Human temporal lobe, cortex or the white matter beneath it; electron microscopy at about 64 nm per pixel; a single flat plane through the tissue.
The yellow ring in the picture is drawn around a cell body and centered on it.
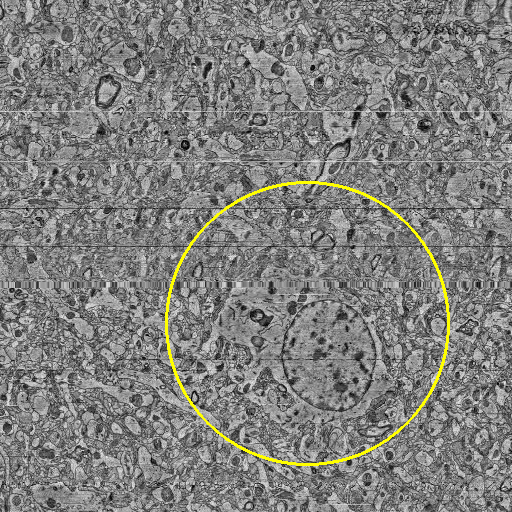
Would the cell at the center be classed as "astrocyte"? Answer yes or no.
Yes, it belongs to that class.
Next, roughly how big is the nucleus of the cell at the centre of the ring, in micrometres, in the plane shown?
The nucleus comes to roughly 7 by 6 micrometres in this plane.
